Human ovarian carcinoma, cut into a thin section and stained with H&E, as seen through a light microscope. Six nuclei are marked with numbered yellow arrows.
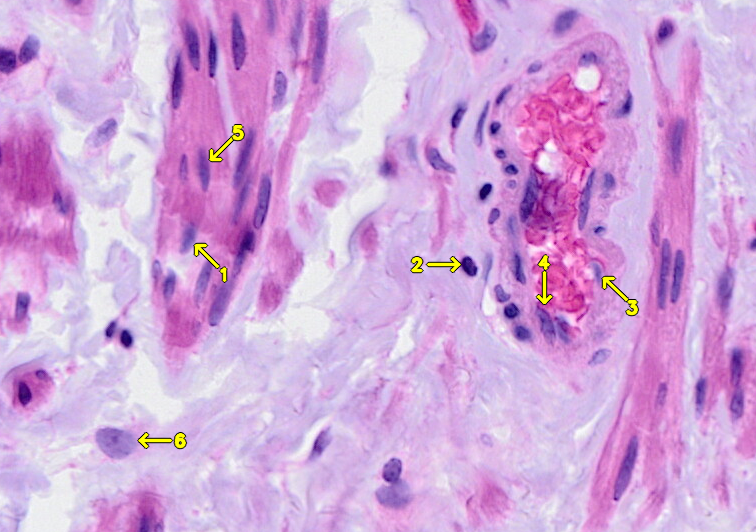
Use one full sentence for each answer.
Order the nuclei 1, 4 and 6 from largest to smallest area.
The nuclei rank 6, 4, 1, from largest to smallest.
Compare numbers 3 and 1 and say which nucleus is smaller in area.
It is nucleus 3; nucleus 1 has about 1.5 times its area.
